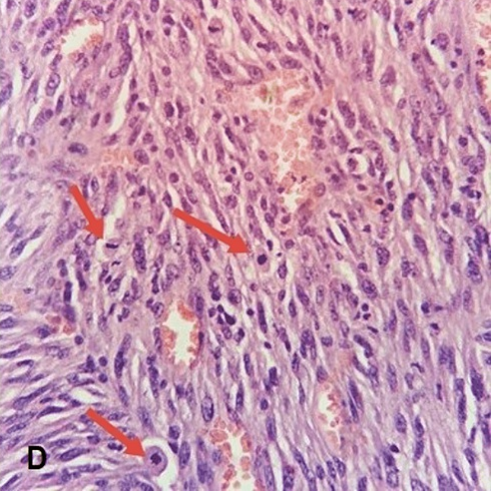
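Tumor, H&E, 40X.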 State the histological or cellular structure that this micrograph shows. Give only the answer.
vascular spaces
